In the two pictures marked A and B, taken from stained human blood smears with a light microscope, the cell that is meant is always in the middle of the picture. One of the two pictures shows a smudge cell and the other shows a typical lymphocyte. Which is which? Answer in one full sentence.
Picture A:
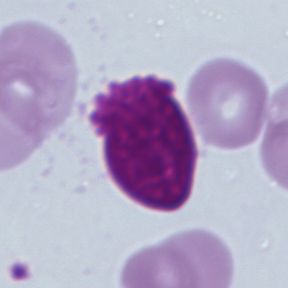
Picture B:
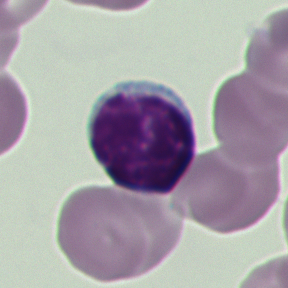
The cell in picture A is a smudge cell, and the one in picture B is a typical lymphocyte.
